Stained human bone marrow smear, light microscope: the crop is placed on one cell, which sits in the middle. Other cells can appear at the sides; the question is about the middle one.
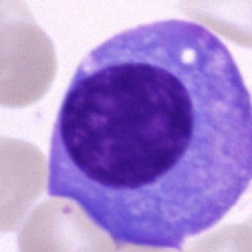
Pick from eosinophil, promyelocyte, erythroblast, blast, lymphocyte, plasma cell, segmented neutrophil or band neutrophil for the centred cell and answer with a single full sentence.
At the middle of the frame sits a plasma cell.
